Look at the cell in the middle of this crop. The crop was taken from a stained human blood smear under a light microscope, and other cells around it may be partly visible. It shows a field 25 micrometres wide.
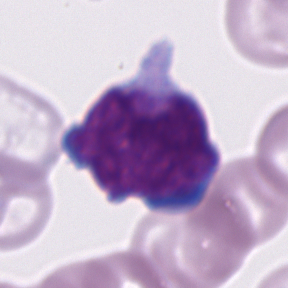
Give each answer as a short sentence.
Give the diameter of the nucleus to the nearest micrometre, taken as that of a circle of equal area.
The diameter of the nucleus comes to about 11 micrometres.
